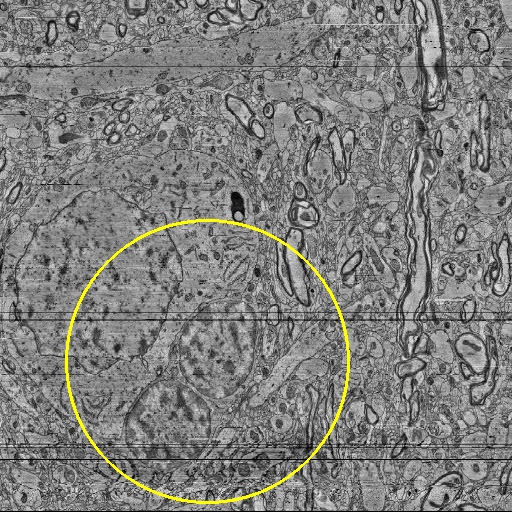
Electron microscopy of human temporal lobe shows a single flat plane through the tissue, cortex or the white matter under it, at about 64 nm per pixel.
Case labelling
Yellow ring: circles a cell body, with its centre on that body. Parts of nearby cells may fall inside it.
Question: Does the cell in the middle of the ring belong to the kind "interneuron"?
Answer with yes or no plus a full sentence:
No, in this picture the cell in the middle of the yellow ring belongs to a different kind.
